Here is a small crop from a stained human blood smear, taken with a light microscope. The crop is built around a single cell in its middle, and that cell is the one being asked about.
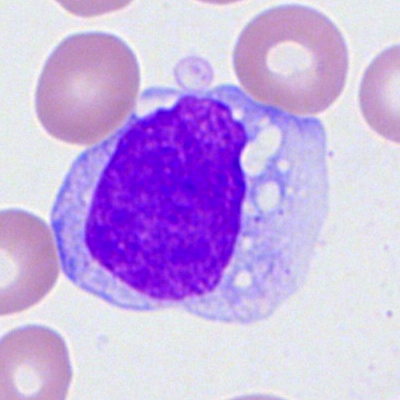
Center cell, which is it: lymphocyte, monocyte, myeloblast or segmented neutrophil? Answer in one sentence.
This particular crop is centered on a monocyte.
